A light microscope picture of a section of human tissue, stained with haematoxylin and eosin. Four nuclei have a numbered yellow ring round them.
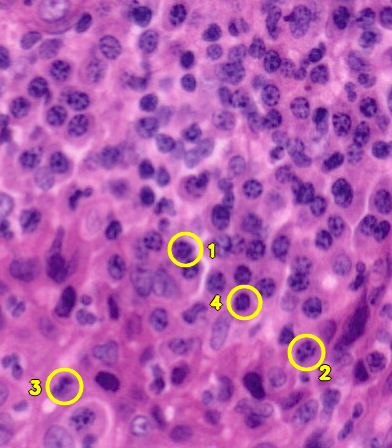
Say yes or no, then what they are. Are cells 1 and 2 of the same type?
Yes, the cells numbered 1 and 2 are both plasma cells.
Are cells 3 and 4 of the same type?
No, the cell marked 3 is a squamous epithelial cell, and the cell marked 4 is a plasma cell.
